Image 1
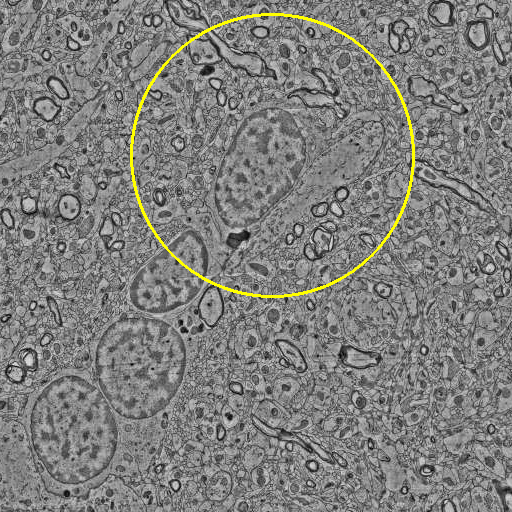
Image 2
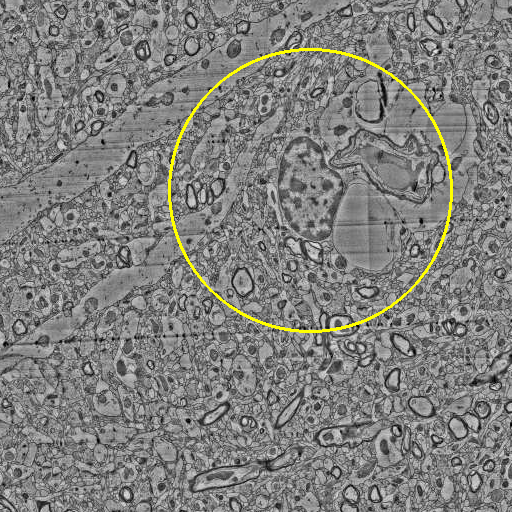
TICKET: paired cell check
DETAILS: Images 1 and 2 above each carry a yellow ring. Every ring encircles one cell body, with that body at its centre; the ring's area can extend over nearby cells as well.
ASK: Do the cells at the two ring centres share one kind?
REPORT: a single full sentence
No, the ring-centre cells of Images 1 and 2 belong to two kinds.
